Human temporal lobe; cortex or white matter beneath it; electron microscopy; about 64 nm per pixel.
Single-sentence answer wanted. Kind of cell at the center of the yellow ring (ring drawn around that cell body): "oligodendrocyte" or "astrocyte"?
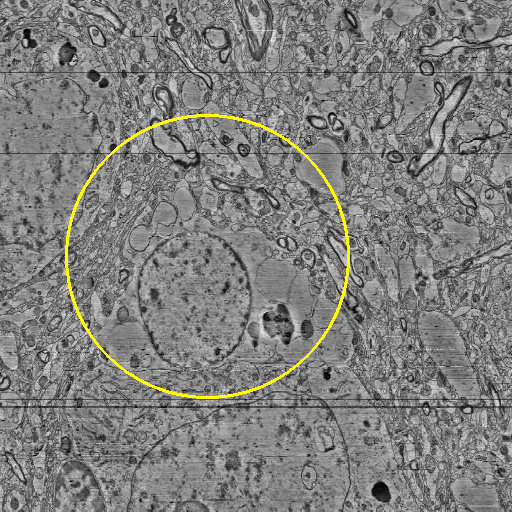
The cell centered in the ring is an astrocyte.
